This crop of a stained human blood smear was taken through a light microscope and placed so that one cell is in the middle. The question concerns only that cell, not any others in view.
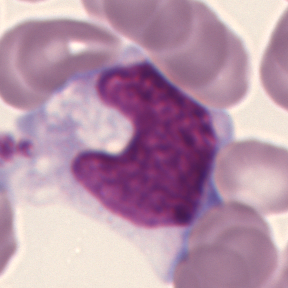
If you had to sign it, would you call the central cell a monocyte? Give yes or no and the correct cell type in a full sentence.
Yes, the middle of the crop is occupied by a monocyte.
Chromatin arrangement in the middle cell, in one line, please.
Chromatin texture is fine, and coarse clumps are absent.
